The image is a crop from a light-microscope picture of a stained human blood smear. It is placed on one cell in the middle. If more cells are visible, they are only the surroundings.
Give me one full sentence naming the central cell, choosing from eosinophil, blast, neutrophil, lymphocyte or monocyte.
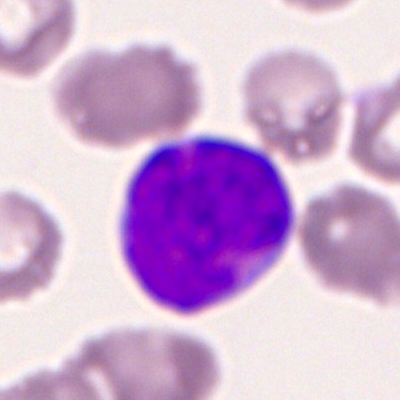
The middle of this crop is occupied by a blast.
